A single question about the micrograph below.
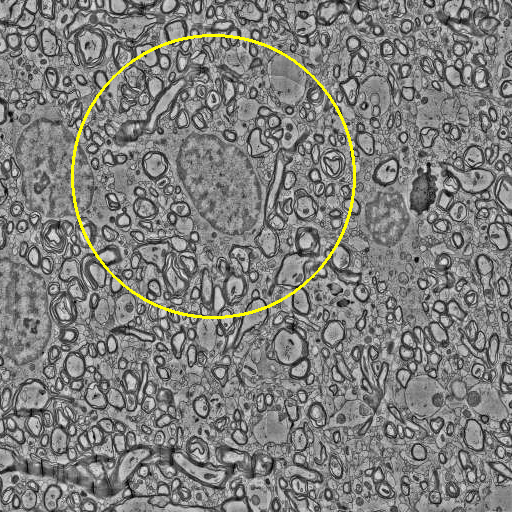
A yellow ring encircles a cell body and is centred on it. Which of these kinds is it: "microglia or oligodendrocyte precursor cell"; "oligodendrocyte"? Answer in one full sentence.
The cell body at the centre of the yellow ring belongs to an oligodendrocyte.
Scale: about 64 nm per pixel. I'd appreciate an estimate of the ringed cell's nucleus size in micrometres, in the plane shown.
About 7 by 4 micrometres; in this plane the nucleus is clearly longer than it is wide.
